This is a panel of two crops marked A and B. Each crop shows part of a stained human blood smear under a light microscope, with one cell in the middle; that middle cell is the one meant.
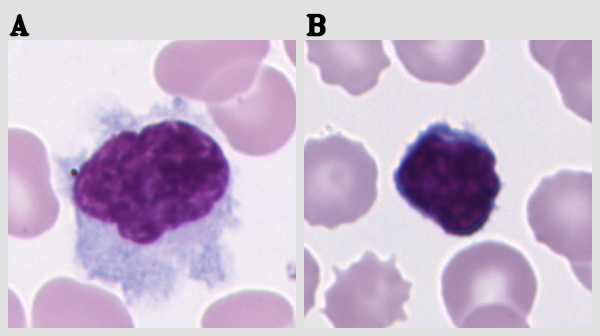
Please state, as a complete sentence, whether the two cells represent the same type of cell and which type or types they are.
No, the labels go like this: crop A is a hairy cell and crop B is a typical lymphocyte.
